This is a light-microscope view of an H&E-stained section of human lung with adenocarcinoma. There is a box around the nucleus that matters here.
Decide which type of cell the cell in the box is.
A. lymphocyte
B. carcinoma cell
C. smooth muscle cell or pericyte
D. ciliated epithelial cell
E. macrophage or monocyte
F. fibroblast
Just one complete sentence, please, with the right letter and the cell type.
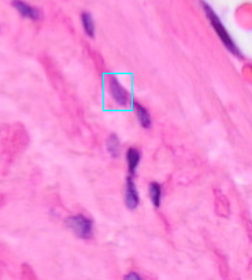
Option C gets it right, as the cell in the box is a smooth muscle cell or pericyte.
